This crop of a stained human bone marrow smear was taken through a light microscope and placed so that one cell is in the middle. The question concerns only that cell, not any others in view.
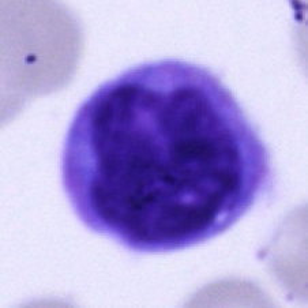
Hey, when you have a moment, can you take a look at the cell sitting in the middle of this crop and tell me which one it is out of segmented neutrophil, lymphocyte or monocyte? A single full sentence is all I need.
The middle cell in this particular crop is a monocyte.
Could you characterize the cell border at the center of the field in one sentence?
Thanks for asking; the cell edge is smooth and has no projections.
